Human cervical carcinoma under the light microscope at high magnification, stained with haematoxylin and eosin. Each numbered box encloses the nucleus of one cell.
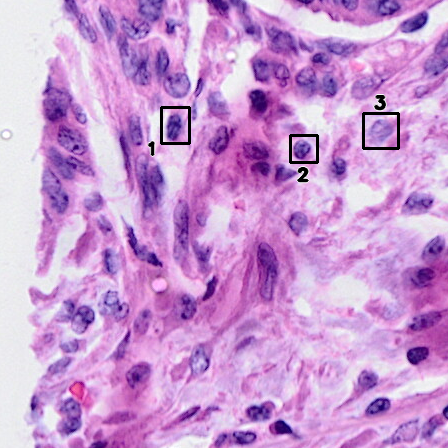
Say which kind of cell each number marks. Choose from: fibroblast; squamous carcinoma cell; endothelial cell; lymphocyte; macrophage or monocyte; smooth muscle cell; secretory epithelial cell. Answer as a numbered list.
1. lymphocyte
2. lymphocyte
3. fibroblast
